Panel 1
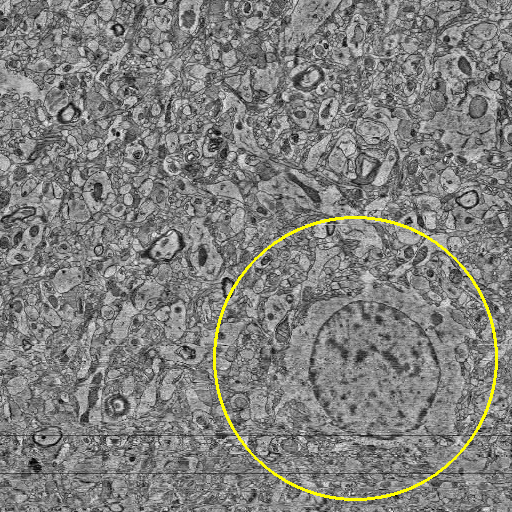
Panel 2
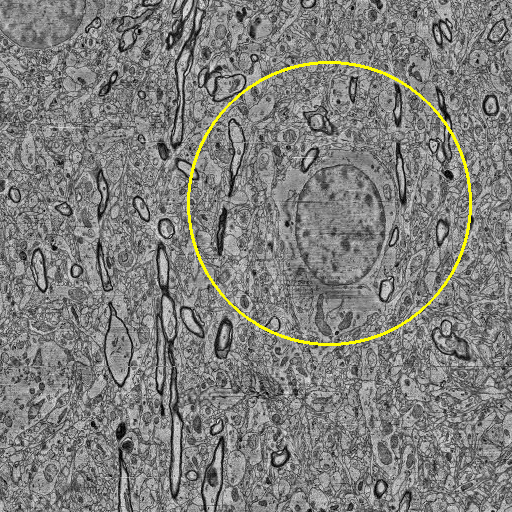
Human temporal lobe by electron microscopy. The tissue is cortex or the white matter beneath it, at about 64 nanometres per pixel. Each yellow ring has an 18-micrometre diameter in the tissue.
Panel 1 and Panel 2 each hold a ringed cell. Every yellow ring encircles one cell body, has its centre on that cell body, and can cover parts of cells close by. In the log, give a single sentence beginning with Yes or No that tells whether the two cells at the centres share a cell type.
Yes, in Panel 1 and Panel 2 the centred cells share a cell type.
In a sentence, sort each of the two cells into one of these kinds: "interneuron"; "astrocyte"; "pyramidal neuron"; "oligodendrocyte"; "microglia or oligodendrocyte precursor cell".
In both pictures the ring is centred on an astrocyte.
